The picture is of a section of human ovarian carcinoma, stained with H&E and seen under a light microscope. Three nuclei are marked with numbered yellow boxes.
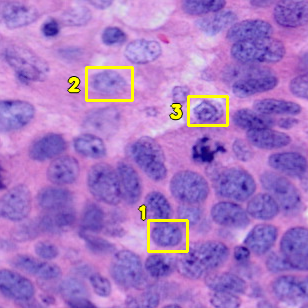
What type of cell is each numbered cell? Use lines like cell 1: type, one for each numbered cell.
cell 1: carcinoma cell
cell 2: fibroblast
cell 3: macrophage or monocyte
